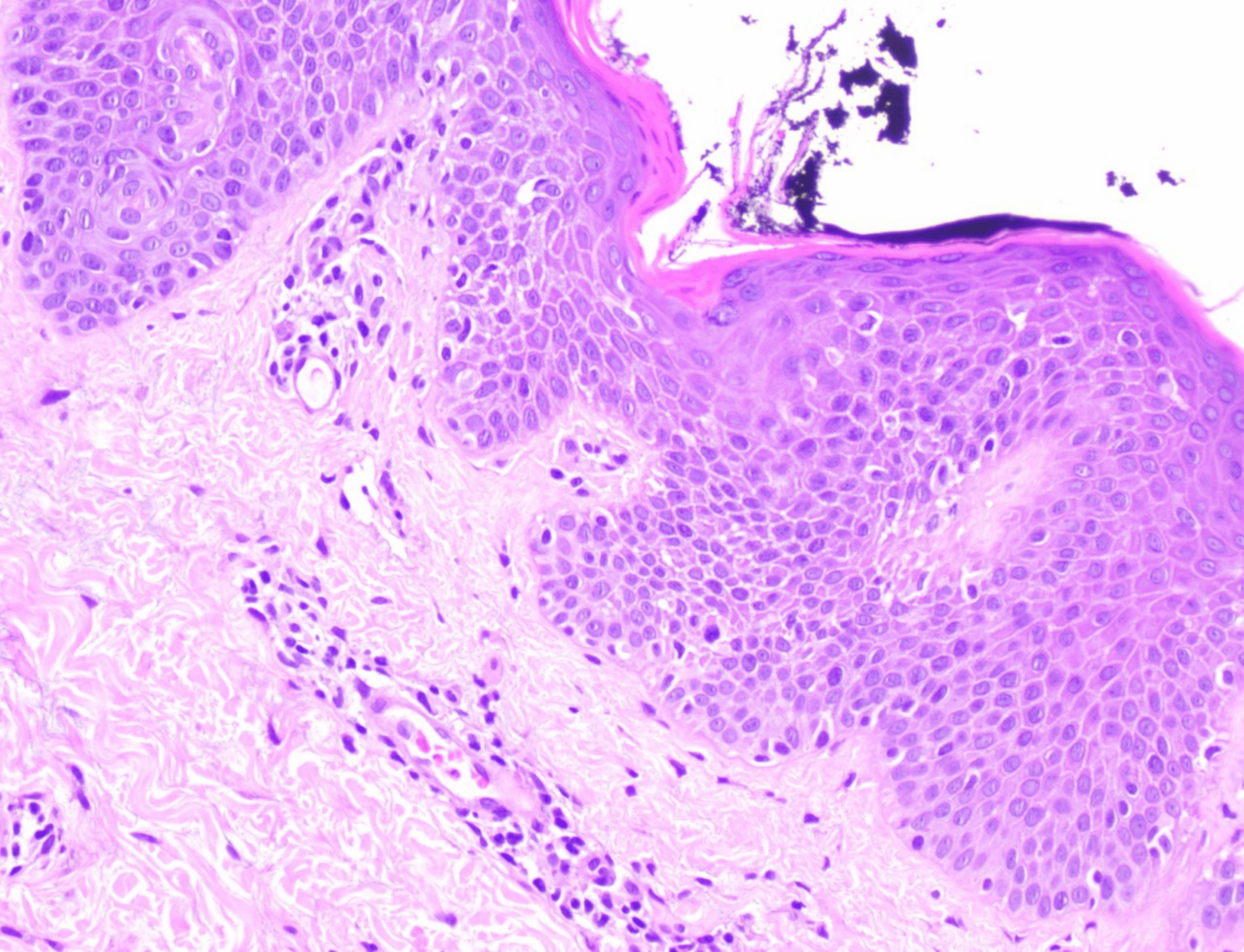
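This is skin with a thickened epidermis of squamous keratinocytes over a pale pink collagenous dermis. The epidermis is many cell layers deep, with broad rete ridges extending downward. Keratinocytes have round to oval purple nuclei and pale pink cytoplasm, with pale clear spaces between many of them. In the dermis, small vessels are surrounded by loose clusters of small dark round nuclei of inflammatory cells, forming a sparse infiltrate around the vessels.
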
